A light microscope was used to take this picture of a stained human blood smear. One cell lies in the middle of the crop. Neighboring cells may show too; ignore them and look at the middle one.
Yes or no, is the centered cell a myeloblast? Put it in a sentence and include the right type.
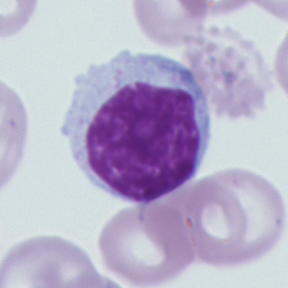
No, the cell of interest here is a typical lymphocyte and not a myeloblast.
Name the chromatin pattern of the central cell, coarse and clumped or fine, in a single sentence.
Thanks for asking; the chromatin is coarsely clumped.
